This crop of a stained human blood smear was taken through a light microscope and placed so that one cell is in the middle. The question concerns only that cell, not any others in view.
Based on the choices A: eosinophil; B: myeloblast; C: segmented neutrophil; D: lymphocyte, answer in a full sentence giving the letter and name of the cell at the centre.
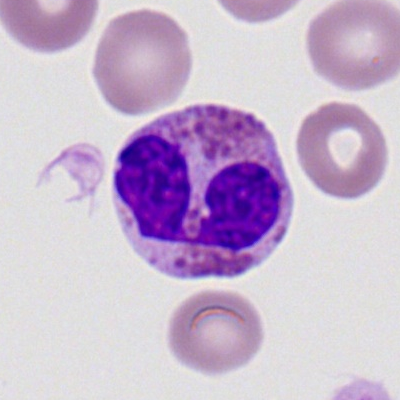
The cell at the centre, correctly named in option A, is an eosinophil.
